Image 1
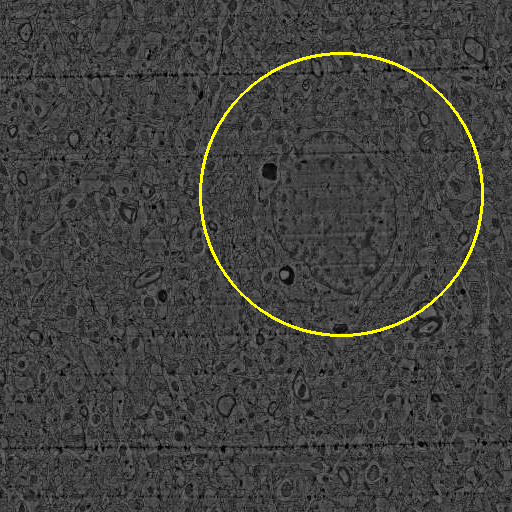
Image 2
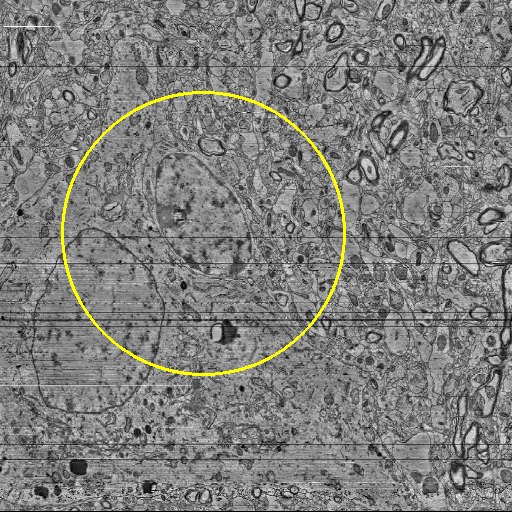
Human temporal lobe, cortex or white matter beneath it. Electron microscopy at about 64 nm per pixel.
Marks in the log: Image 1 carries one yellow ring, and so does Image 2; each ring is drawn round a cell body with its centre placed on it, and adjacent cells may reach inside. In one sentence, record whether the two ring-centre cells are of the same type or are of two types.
The two cells at the ring centres, one in each image, are of two types.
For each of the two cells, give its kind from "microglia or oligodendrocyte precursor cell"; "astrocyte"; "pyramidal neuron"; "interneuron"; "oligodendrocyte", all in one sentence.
The first picture has an interneuron in its ring, the second has a microglial cell or oligodendrocyte precursor cell.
